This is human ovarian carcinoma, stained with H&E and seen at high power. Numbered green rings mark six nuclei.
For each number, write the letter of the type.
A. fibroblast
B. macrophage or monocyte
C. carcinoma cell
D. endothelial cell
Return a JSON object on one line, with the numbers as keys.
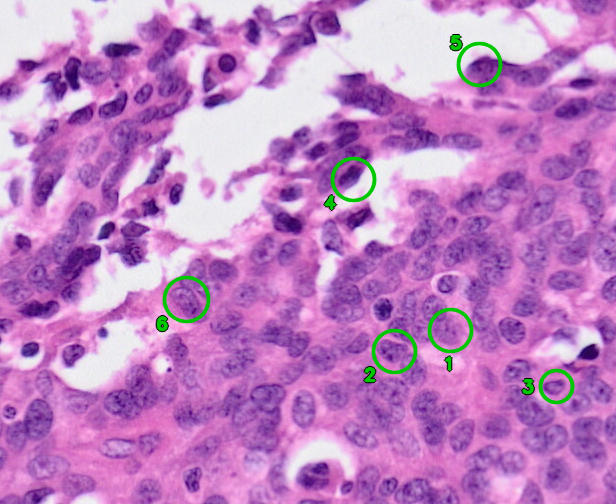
{"1": "C", "2": "B", "3": "B", "4": "C", "5": "C", "6": "C"}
